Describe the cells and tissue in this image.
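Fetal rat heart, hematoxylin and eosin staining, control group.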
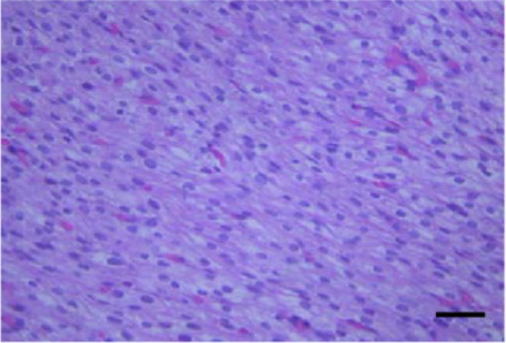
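The cells are elongated, with pink-staining cytoplasm running in one direction across the field. Their nuclei are oval, blue-purple, and fairly uniform in size and shape, lying along the long axis of the cells. The cells are packed closely together with little space between them.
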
